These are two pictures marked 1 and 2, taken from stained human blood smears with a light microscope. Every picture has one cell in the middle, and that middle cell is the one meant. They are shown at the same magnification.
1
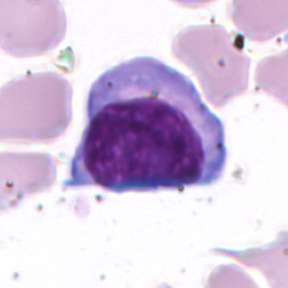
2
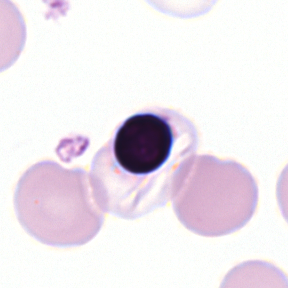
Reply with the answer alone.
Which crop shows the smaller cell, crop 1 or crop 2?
2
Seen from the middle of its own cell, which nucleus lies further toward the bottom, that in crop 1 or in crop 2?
1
